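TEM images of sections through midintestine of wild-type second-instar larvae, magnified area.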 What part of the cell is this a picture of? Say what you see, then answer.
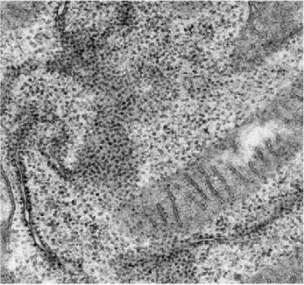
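The cytoplasm is packed with many small, evenly sized dark granules. The granules are scattered densely between membranes. On this evidence: ribosomes.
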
